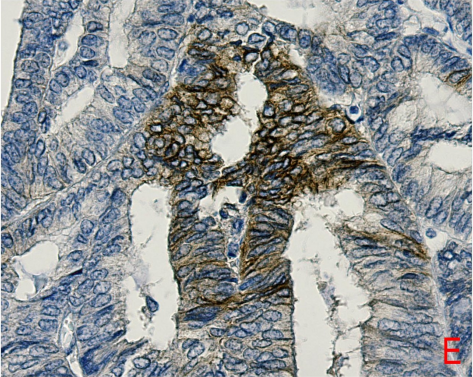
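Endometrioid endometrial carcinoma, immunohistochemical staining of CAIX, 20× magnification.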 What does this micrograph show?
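Glandular tumour epithelium is seen, with tall columnar cells whose elongated, crowded, stratified nuclei line open gland lumens. In one cluster of cells a brown stain sharply outlines each cell border, forming a network, while the nuclei stay blue.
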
